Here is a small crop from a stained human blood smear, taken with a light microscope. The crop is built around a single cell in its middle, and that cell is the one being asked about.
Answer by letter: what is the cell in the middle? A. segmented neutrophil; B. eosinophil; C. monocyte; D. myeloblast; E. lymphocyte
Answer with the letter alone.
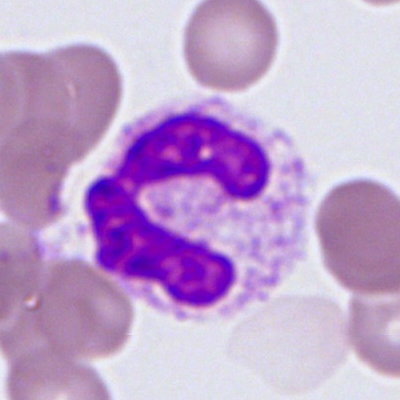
A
